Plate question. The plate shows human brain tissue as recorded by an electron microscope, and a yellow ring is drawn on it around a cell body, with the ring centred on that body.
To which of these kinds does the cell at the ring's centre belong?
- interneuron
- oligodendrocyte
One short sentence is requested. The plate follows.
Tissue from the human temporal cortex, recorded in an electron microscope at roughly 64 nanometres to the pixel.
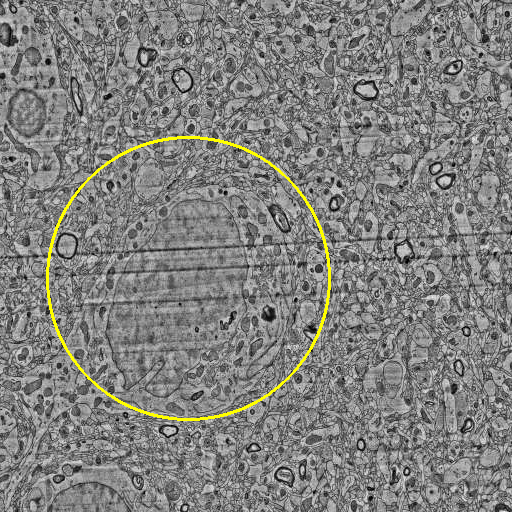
The cell at the ring's centre is an interneuron.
